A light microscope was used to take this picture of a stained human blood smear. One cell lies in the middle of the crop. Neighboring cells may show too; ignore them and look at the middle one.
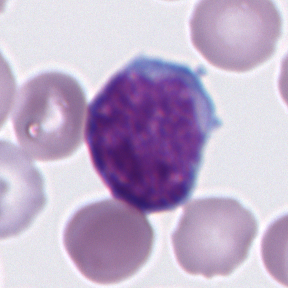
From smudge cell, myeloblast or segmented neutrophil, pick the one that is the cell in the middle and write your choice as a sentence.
The cell nearest the centre of this crop is a myeloblast.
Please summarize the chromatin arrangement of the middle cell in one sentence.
If you check the nucleus, you will find the chromatin coarsely clumped.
